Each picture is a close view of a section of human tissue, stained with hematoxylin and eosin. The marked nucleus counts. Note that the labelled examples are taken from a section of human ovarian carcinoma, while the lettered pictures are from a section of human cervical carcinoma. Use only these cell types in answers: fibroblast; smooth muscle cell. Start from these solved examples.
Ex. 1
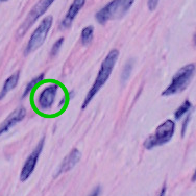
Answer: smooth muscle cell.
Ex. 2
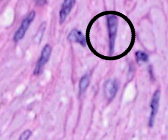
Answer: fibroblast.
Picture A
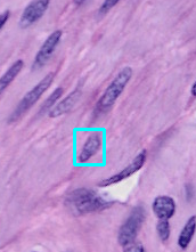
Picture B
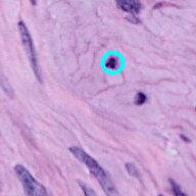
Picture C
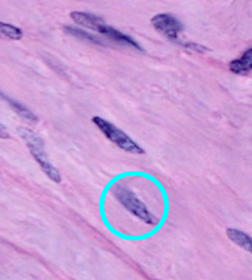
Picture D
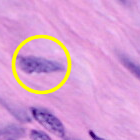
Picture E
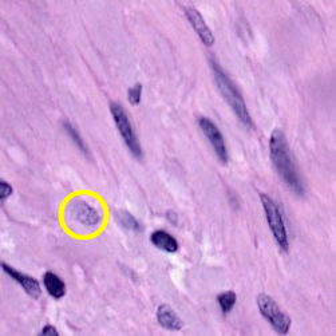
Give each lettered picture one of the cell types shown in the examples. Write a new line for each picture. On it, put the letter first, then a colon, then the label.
A: smooth muscle cell.
B: fibroblast.
C: fibroblast.
D: fibroblast.
E: fibroblast.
